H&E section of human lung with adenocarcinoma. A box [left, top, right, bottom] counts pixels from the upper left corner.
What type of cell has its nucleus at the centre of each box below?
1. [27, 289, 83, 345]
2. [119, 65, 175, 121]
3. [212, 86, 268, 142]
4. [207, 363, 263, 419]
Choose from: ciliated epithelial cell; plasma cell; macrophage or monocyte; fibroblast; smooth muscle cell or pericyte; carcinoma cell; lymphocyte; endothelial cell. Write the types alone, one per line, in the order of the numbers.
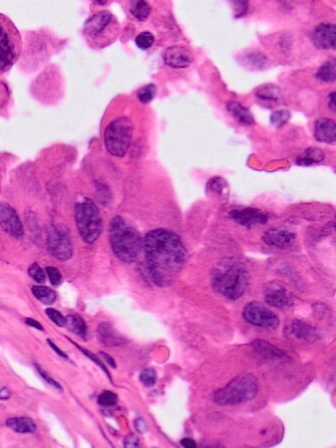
lymphocyte
lymphocyte
macrophage or monocyte
carcinoma cell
